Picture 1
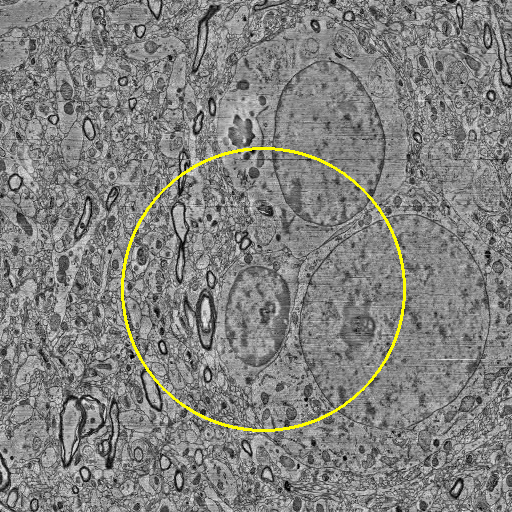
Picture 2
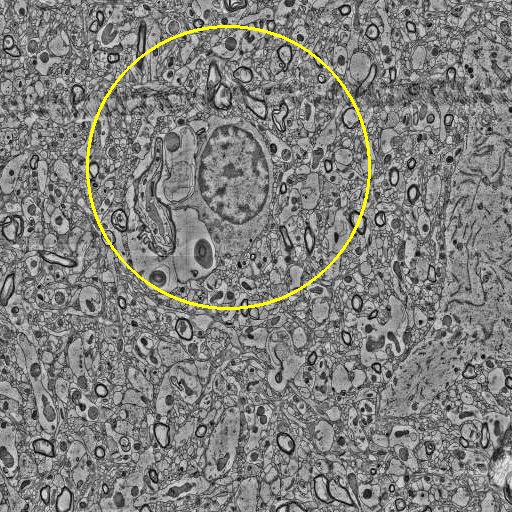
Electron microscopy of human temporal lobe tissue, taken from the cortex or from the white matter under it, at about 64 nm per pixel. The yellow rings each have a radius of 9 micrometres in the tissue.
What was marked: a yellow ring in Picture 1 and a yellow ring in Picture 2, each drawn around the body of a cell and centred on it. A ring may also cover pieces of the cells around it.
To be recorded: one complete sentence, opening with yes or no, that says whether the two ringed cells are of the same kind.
Yes, the two ringed cells are of the same kind.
